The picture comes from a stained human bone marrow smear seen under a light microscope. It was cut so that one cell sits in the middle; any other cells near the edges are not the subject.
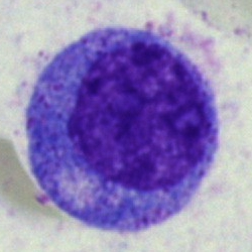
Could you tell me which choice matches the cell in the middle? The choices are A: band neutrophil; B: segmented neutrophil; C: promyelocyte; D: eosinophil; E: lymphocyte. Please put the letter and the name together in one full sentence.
Of the choices given, option C is right, as the central cell is a promyelocyte.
